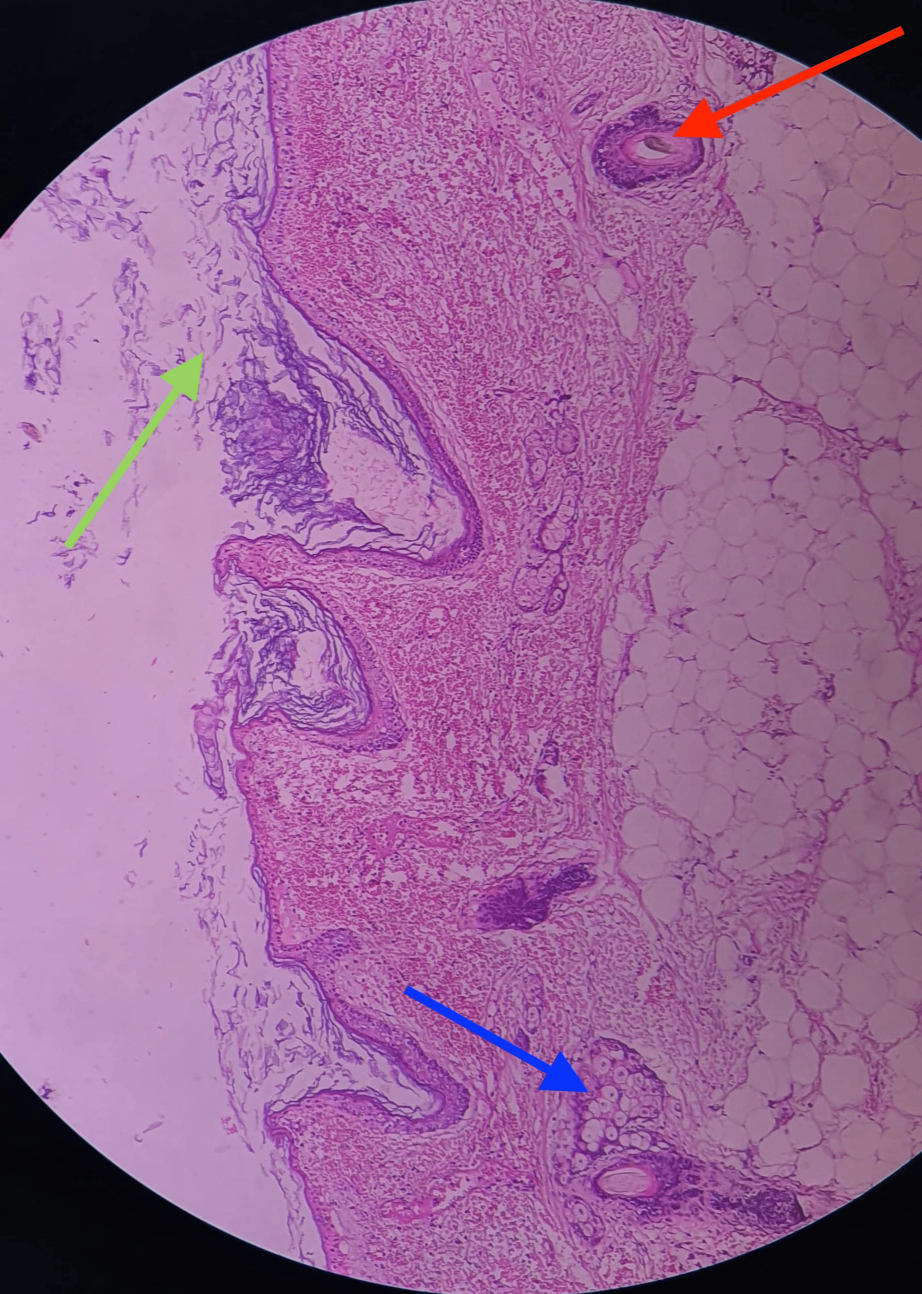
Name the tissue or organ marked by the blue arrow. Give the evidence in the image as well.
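The arrow points to clustered lobules of cells with pale, bubbly cytoplasm. The lobules lie next to a round follicle-like structure.
Sebaceous glands.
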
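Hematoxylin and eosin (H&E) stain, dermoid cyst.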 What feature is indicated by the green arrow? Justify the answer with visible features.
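Keratin flakes. The arrow points to loose, wavy, thin strands of pale material lying free in the space beside the lining. The strands have no nuclei.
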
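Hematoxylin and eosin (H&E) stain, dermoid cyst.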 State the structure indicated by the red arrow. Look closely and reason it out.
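The arrow points to a round structure in the wall with a pink central core. The core is ringed by a dark purple rim of packed cells. That points to this answer: hair follicle.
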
